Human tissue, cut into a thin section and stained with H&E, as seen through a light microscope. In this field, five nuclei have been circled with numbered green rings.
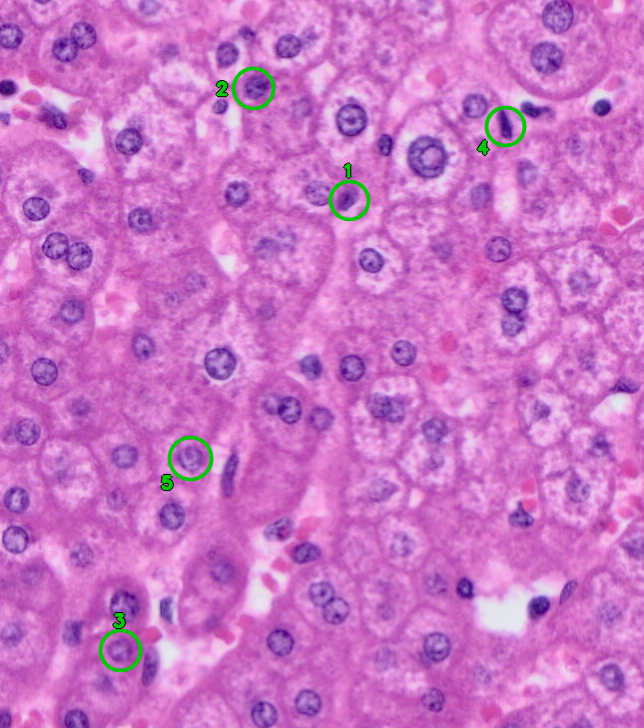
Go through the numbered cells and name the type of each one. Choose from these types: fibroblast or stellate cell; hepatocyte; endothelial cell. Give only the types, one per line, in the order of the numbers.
endothelial cell
hepatocyte
hepatocyte
fibroblast or stellate cell
hepatocyte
